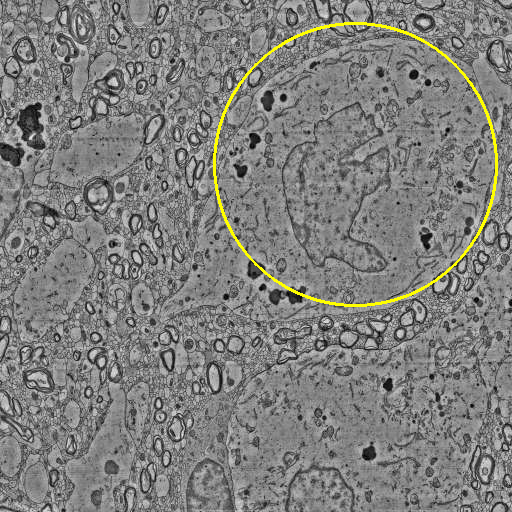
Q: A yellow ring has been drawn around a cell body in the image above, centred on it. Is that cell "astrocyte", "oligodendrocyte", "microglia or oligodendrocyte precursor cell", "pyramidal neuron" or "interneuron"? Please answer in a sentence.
The ring surrounds the cell body of a pyramidal neuron.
